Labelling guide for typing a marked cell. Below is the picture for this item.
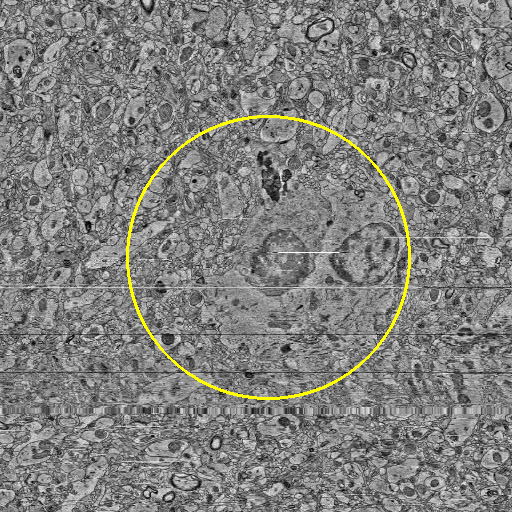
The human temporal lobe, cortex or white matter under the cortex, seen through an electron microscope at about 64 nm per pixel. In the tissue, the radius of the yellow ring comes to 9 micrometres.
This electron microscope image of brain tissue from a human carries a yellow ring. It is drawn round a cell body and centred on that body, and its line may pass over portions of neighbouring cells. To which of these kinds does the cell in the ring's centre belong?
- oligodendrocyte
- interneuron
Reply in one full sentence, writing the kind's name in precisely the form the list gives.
Here we have an oligodendrocyte at the centre of the yellow ring in the picture.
